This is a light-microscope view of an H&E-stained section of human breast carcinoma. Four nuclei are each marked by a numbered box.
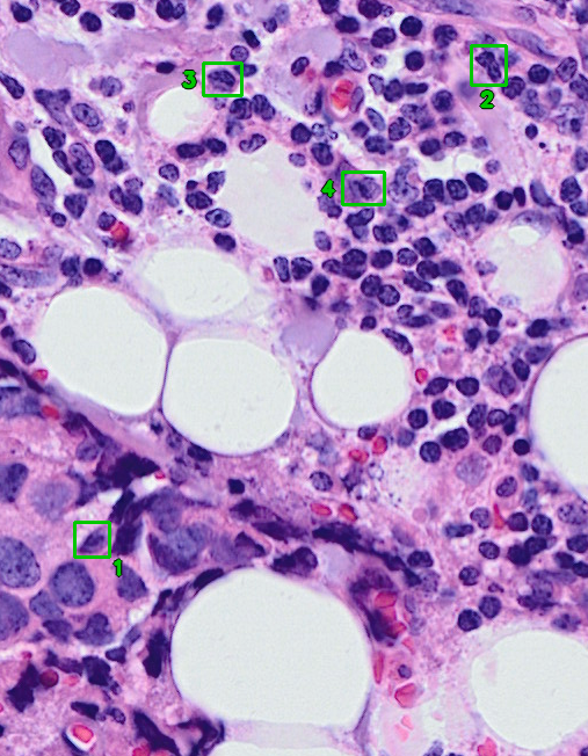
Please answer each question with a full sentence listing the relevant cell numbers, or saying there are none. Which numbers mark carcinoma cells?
With the exception of cell 1, no marked cell is a carcinoma cell.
